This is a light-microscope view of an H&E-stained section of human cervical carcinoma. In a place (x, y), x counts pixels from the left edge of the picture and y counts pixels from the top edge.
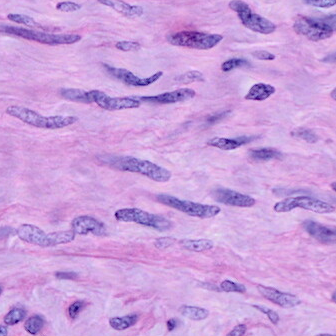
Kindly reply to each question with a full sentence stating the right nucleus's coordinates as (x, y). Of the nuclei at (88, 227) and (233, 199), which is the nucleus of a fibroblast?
Lying within a fibroblast is the nucleus at (233, 199).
